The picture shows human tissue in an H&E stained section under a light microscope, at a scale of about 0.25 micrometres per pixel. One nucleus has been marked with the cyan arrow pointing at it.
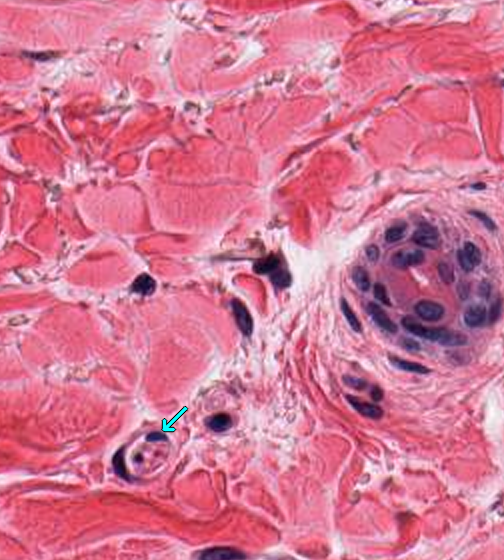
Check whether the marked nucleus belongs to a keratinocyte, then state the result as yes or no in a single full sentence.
No, it is to a supporting cell that the marked nucleus belongs, not to a keratinocyte.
